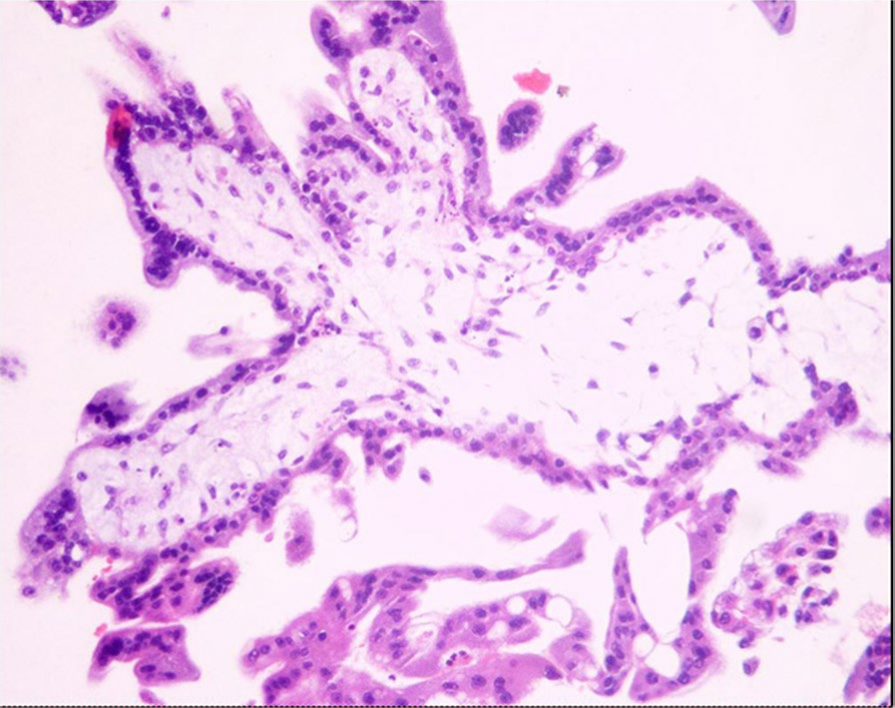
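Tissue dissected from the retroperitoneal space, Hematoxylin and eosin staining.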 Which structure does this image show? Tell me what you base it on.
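Branching, finger-like fronds float free in empty space. Each frond has a pale, loose, watery core with scattered spindle-shaped cells. The fronds are covered by a continuous layer of epithelial cells with dark nuclei. On this evidence: chorionic villi.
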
